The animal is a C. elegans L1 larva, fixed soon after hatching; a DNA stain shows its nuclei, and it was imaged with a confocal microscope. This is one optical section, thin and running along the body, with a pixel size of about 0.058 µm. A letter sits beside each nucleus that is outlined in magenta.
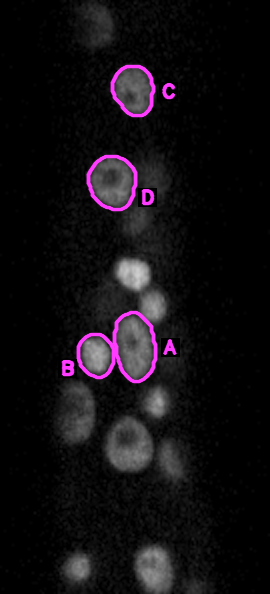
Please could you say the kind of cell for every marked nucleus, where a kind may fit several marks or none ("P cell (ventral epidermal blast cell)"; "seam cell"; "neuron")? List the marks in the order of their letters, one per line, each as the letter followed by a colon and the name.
A: P cell (ventral epidermal blast cell)
B: neuron
C: P cell (ventral epidermal blast cell)
D: seam cell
